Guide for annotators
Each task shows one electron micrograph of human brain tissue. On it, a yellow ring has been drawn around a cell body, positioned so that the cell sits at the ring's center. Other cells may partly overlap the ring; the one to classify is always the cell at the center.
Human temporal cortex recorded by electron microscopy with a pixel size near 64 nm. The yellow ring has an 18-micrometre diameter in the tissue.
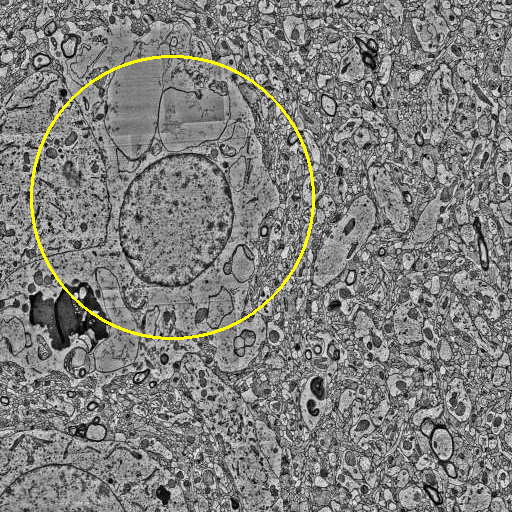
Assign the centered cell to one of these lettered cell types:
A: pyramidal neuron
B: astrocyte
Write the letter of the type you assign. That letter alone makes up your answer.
B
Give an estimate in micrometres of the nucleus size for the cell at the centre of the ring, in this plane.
In this plane the ringed cell's nucleus is roughly 8 micrometres across.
